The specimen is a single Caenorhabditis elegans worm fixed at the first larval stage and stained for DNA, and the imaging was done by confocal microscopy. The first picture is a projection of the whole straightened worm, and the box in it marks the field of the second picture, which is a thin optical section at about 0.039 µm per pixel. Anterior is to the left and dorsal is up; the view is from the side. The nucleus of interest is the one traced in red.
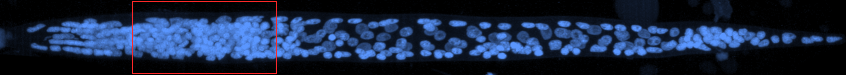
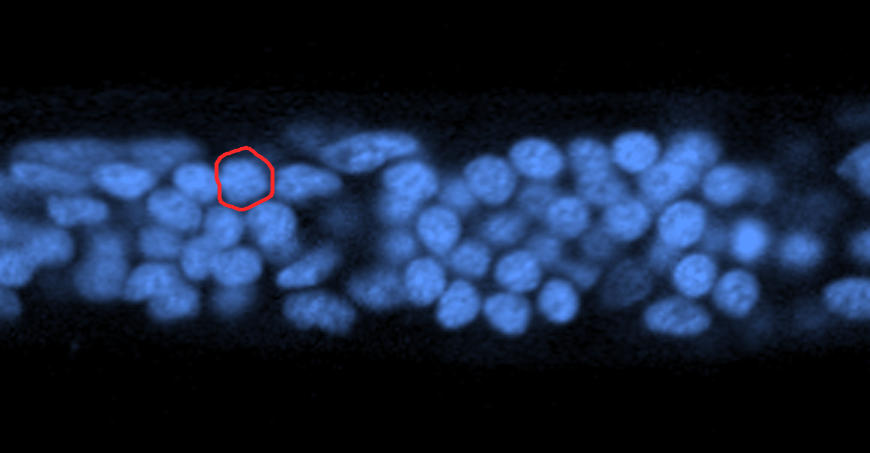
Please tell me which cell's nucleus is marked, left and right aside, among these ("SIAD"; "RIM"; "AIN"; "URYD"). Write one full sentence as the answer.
The nucleus is from URYD, a neuron.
